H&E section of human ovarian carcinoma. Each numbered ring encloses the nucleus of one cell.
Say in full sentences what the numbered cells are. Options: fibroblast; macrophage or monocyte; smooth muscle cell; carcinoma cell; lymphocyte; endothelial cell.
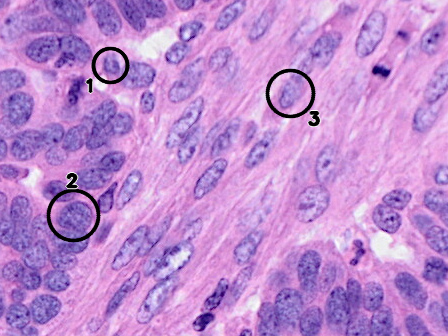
Cell 1 is a macrophage or monocyte, cell 2 is a carcinoma cell and cell 3 is a fibroblast.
